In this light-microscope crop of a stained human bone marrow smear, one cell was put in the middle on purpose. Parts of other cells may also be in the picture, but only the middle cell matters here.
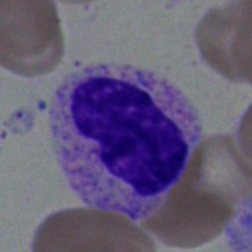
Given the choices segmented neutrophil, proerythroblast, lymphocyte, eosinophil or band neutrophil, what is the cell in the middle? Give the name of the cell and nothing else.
band neutrophil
